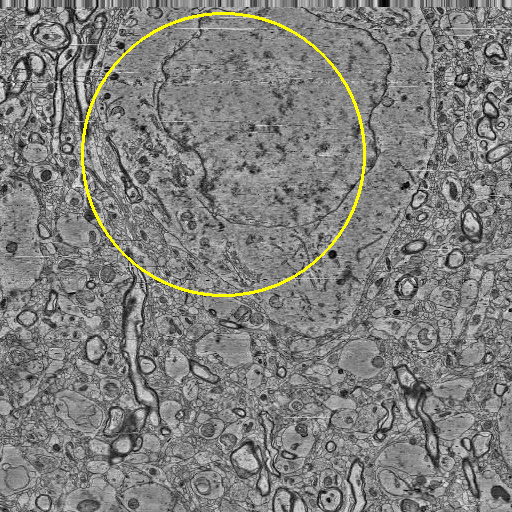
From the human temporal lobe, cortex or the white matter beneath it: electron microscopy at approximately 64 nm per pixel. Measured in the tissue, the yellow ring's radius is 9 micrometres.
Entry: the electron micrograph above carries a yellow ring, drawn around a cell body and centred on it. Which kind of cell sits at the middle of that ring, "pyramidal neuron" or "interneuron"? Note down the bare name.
pyramidal neuron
